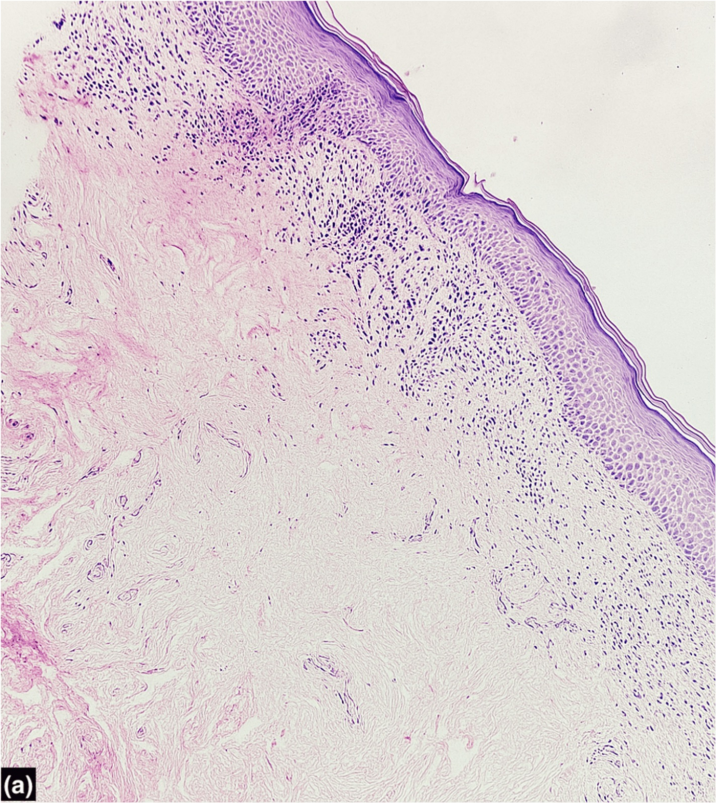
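At low power, this is skin, with an epidermis of stratified squamous epithelium topped by a thin keratin layer and with pink-staining dermis below. Just beneath the epidermis, in the upper dermis, there is a band of small, dark, round nuclei. These cells are densest toward the top of the field and thin out deeper down. The deeper dermis is pale, loose collagen with a few small vessels. This band of small round cells is a mild to moderate lymphocytic infiltrate in the upper dermis.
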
